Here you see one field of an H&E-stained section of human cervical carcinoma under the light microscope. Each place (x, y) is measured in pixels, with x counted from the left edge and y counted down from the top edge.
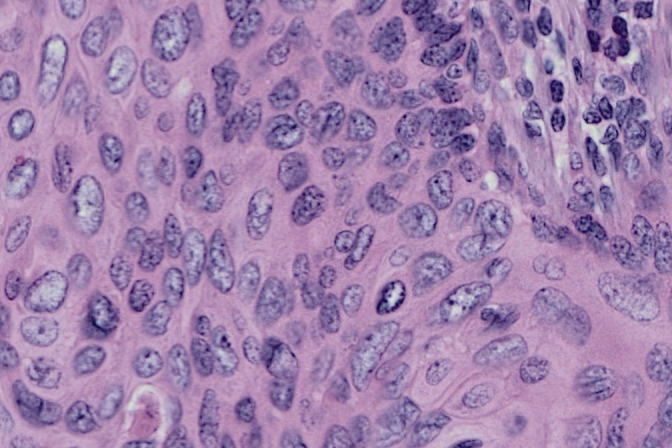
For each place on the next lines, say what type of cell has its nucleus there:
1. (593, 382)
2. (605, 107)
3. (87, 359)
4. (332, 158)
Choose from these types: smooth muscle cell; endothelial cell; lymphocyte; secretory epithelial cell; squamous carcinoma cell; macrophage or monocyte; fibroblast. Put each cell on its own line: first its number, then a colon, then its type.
1: squamous carcinoma cell
2: lymphocyte
3: squamous carcinoma cell
4: squamous carcinoma cell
